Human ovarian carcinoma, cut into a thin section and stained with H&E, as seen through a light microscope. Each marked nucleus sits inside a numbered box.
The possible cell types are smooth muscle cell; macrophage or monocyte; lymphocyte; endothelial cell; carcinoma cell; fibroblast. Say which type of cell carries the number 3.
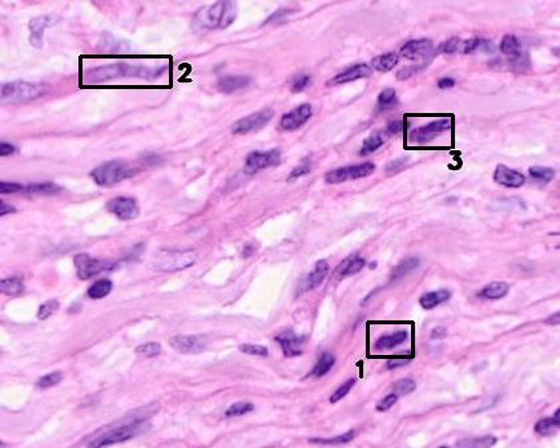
lymphocyte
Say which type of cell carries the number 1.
lymphocyte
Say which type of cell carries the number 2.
fibroblast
